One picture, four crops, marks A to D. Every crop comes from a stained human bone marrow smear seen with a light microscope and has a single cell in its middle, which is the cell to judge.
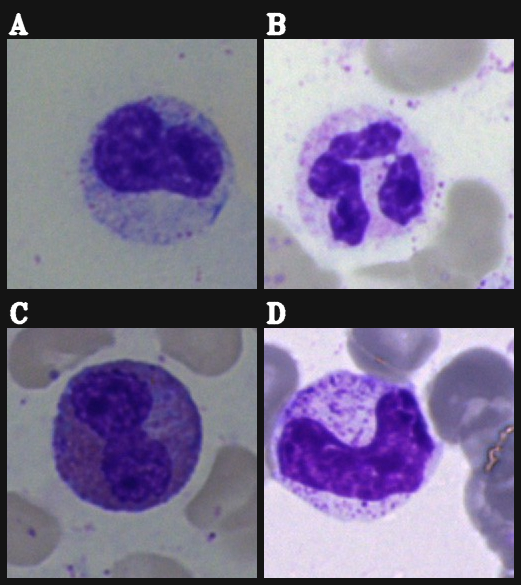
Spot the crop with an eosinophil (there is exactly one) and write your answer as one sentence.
The crop showing an eosinophil in this series is crop C.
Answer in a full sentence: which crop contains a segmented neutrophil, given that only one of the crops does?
On review of the set, crop B is the one showing a segmented neutrophil.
